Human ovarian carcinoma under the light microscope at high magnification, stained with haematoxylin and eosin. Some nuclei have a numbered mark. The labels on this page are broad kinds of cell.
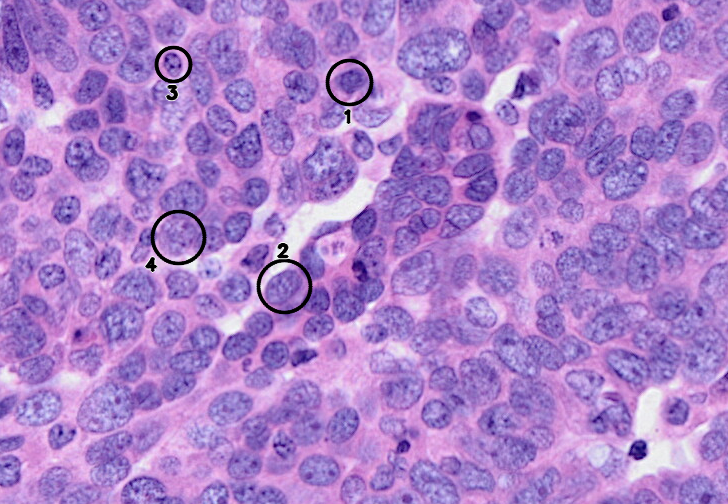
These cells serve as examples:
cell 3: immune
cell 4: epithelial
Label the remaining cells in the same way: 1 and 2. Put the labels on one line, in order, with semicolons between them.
epithelial; epithelial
